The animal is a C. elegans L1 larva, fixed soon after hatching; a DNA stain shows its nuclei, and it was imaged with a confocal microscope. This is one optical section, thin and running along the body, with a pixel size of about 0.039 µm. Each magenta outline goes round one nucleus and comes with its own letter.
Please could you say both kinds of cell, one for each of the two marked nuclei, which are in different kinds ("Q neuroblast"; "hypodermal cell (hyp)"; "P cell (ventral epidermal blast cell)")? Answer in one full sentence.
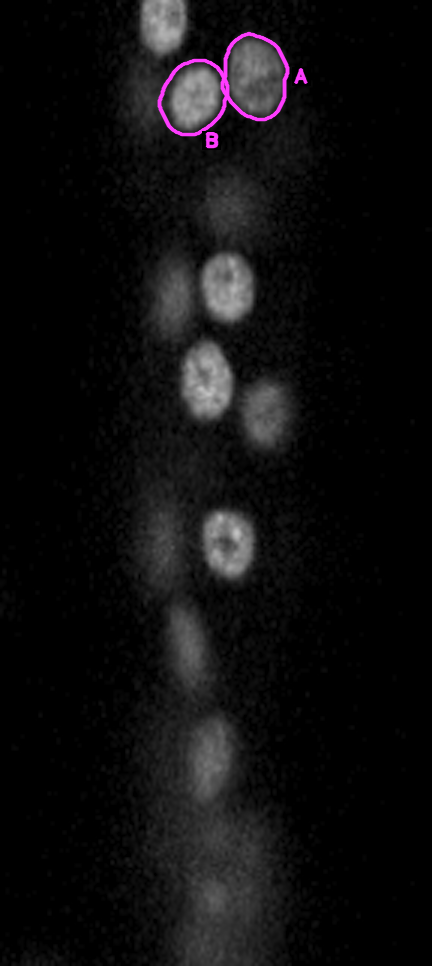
B belongs to a Q neuroblast, and A to a hypodermal cell (hyp).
